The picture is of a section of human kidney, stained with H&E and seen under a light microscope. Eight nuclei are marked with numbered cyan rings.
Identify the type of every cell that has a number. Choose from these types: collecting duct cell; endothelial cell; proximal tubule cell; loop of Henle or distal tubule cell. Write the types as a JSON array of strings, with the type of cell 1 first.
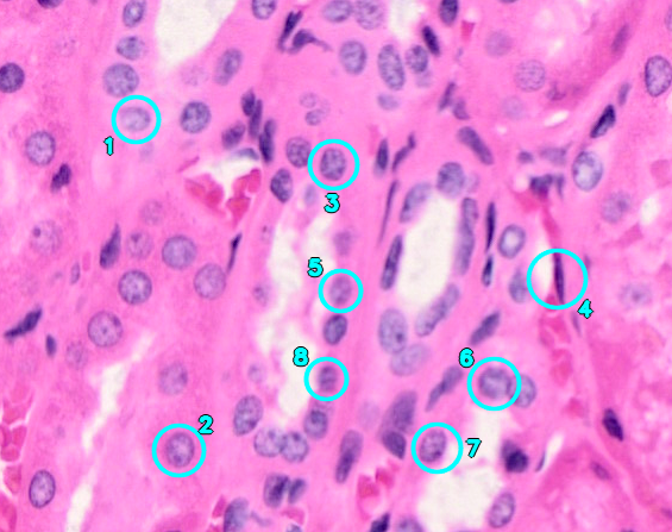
["collecting duct cell", "proximal tubule cell", "loop of Henle or distal tubule cell", "endothelial cell", "loop of Henle or distal tubule cell", "loop of Henle or distal tubule cell", "loop of Henle or distal tubule cell", "loop of Henle or distal tubule cell"]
